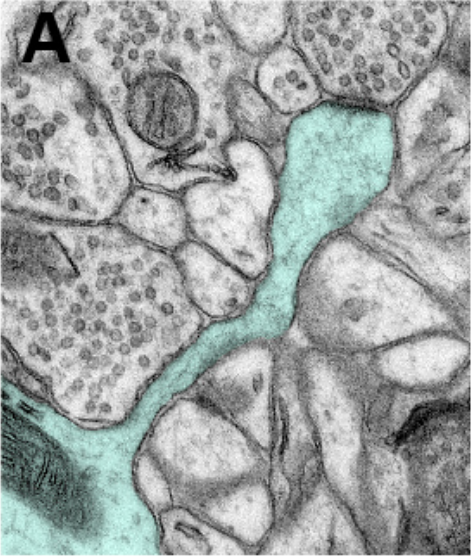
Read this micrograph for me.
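This electron micrograph of neuropil shows a dendritic spine, shaded cyan, rising from its dendrite at the lower left. The spine has a long, thin neck that runs diagonally upward and widens into a bulbous head near the top of the field. The surrounding neuropil is crowded with tightly packed profiles of other axons and processes, some of them also filled with vesicles. A mitochondrion with its cristae is visible near the top.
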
